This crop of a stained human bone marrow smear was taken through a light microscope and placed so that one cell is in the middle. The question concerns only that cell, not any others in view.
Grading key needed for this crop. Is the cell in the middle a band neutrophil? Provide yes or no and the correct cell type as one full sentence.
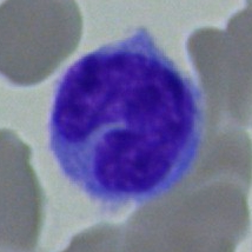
No, the middle cell is not a band neutrophil, it being a monocyte.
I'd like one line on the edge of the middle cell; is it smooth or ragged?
The cell margin is rough and uneven, either ragged or drawn into projections.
